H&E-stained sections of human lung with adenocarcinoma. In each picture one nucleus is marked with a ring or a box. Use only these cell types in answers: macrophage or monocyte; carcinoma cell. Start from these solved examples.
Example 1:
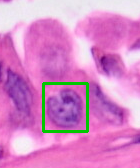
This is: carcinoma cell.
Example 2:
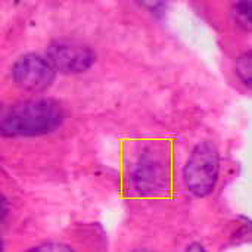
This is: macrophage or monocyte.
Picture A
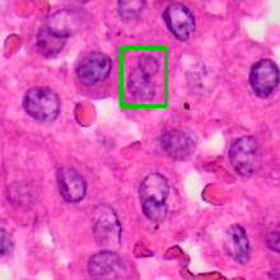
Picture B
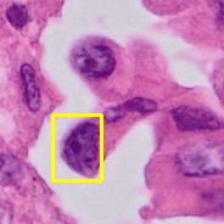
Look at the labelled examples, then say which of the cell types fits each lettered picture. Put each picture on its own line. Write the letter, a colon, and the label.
A: macrophage or monocyte.
B: carcinoma cell.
